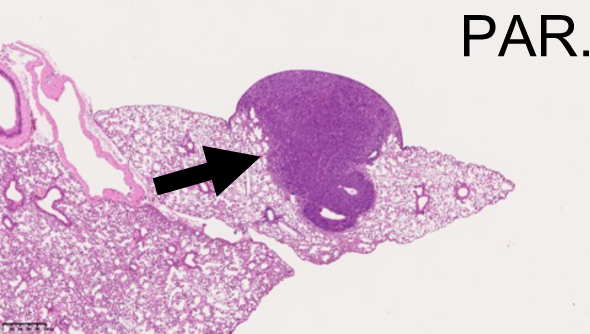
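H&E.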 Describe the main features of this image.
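A section of lung shows pale pink, spongy alveolar parenchyma with airways and vessels toward the left. Within it lies a rounded, sharply bordered nodule of densely packed, deep purple-staining tumor cells. The nodule displaces the surrounding alveoli rather than blending into them.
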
